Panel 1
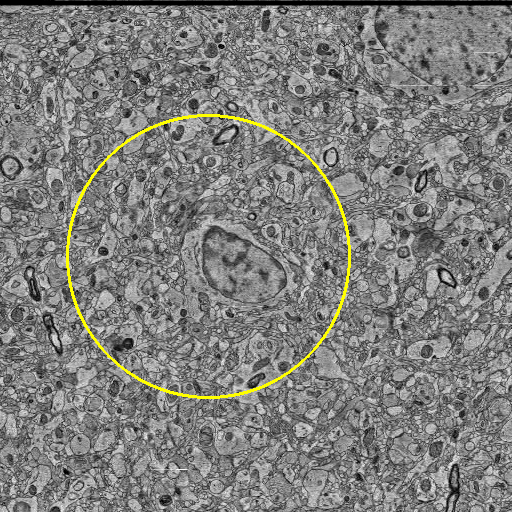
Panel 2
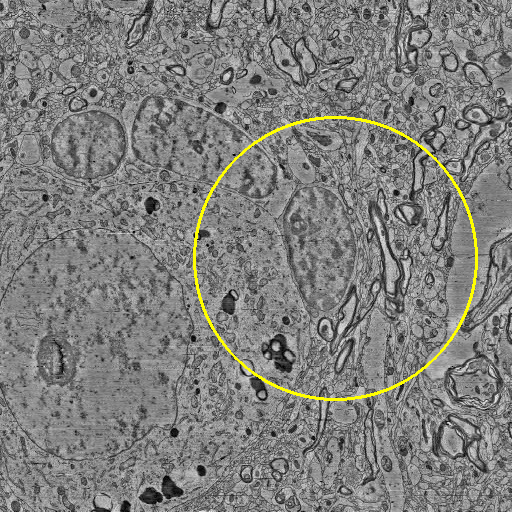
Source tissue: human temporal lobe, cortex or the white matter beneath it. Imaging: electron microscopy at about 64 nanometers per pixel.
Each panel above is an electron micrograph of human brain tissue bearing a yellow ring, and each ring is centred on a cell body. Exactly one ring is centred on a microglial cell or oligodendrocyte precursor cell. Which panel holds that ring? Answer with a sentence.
That ring is in Panel 1.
